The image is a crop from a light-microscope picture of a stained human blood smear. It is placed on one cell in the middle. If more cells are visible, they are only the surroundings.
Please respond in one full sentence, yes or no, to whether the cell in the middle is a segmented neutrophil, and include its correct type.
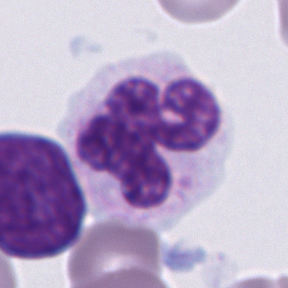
Yes, that is a segmented neutrophil in the middle of the crop.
